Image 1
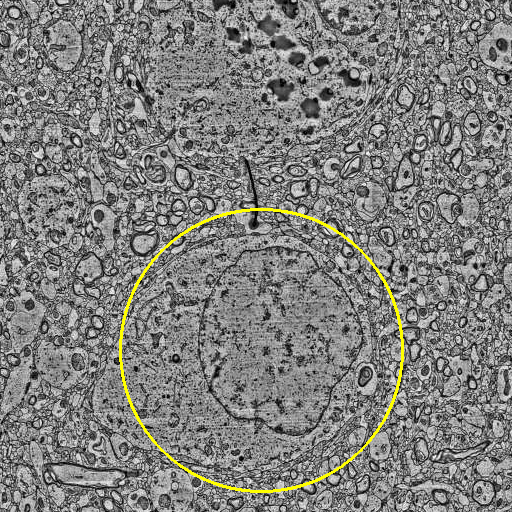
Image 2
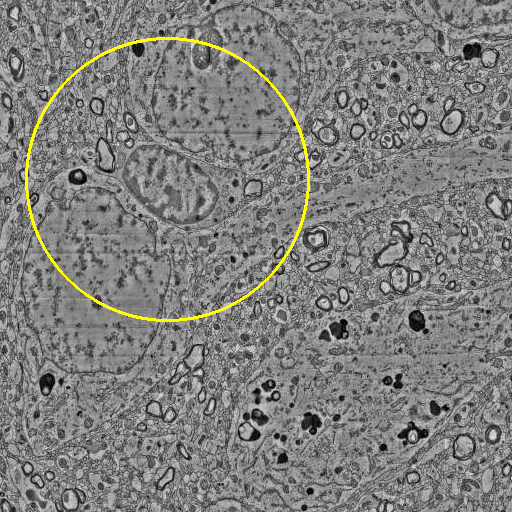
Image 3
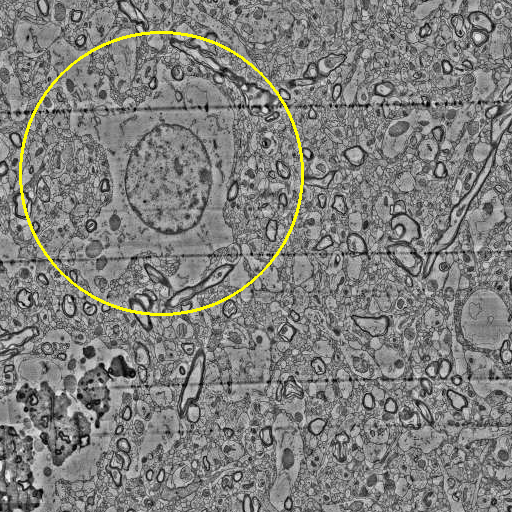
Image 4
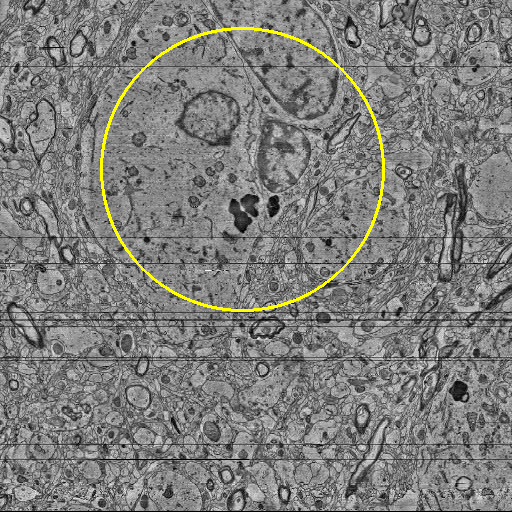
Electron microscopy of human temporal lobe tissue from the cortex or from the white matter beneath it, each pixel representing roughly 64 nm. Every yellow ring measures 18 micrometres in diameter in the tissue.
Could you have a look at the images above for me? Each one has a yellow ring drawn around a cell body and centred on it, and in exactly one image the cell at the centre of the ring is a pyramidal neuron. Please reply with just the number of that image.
1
